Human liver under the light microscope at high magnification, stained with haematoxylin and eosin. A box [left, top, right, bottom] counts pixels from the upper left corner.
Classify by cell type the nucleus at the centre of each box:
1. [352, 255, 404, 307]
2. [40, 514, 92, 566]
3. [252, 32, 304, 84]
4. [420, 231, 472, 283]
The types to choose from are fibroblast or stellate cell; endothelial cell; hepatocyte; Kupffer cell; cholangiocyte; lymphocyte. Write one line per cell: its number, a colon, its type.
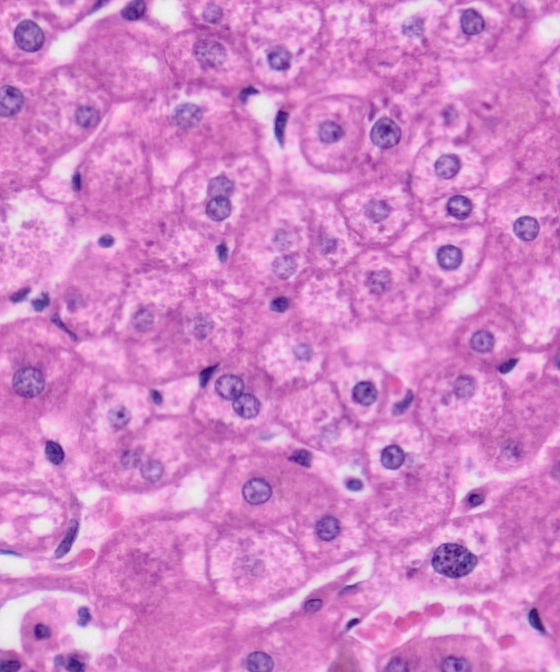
1: hepatocyte
2: Kupffer cell
3: hepatocyte
4: hepatocyte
